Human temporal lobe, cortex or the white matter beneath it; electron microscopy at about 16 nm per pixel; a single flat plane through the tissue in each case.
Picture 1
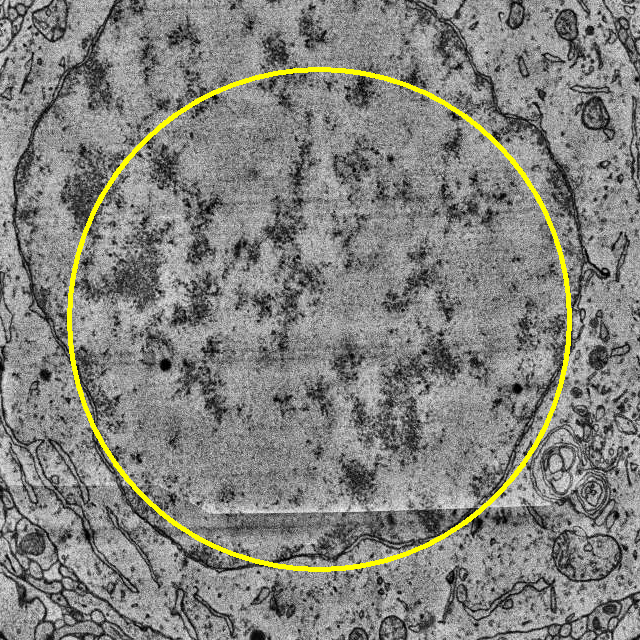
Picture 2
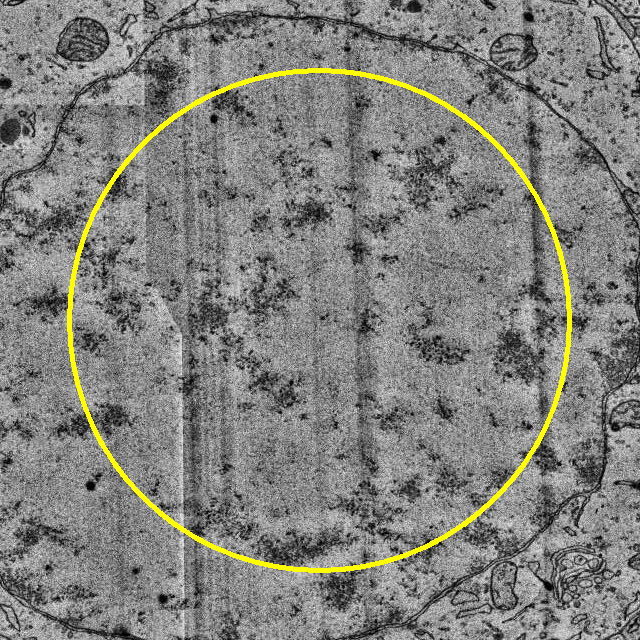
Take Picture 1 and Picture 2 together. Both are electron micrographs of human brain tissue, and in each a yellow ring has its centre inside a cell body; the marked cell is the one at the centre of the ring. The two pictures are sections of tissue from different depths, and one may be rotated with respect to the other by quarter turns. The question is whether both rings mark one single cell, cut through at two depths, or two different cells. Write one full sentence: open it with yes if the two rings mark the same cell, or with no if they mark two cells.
Yes, both circles in yellow pick out the same cell.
